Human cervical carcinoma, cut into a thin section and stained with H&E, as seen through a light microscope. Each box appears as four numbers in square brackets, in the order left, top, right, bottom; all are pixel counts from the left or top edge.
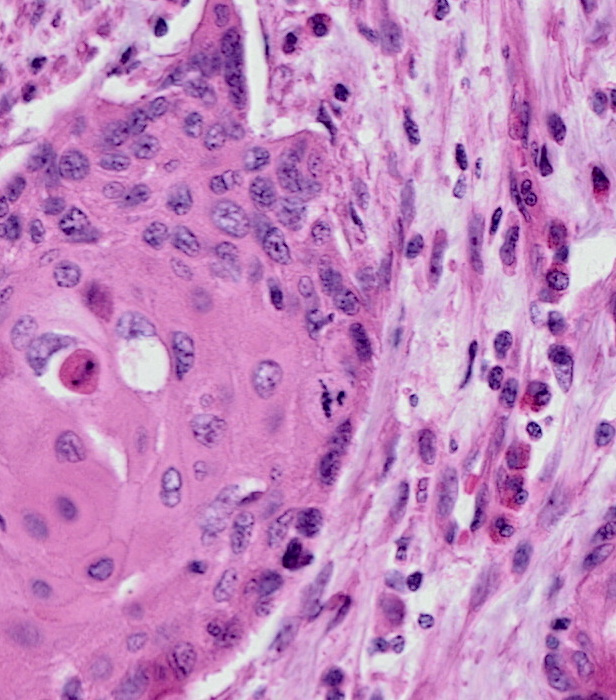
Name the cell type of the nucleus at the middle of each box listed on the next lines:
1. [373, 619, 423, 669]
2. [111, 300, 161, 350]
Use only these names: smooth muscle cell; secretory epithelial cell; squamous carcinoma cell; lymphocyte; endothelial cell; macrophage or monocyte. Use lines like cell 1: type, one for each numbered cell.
cell 1: lymphocyte
cell 2: squamous carcinoma cell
